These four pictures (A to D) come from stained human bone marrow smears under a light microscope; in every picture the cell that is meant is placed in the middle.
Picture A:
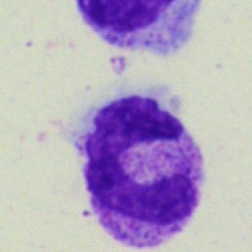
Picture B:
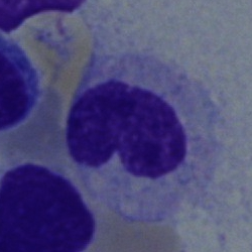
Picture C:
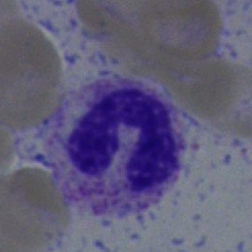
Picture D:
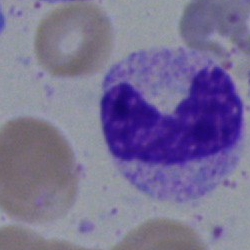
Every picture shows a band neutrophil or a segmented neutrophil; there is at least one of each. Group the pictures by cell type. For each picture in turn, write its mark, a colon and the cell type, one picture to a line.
A: band neutrophil
B: band neutrophil
C: segmented neutrophil
D: band neutrophil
